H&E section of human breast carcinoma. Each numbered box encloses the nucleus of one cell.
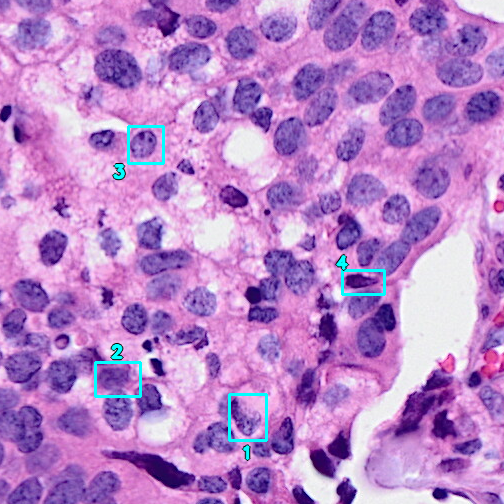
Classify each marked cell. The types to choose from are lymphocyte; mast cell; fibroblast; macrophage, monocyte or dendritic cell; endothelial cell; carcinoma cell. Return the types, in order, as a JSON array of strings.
["carcinoma cell", "carcinoma cell", "macrophage, monocyte or dendritic cell", "carcinoma cell"]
